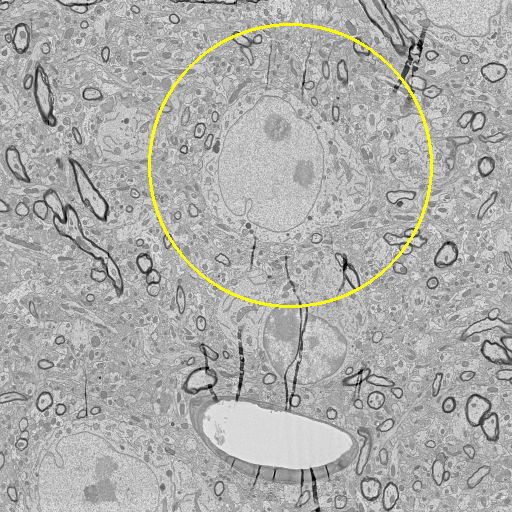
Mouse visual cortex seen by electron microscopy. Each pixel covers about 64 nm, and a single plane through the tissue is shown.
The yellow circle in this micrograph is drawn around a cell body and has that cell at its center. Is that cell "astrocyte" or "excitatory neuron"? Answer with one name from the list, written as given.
excitatory neuron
